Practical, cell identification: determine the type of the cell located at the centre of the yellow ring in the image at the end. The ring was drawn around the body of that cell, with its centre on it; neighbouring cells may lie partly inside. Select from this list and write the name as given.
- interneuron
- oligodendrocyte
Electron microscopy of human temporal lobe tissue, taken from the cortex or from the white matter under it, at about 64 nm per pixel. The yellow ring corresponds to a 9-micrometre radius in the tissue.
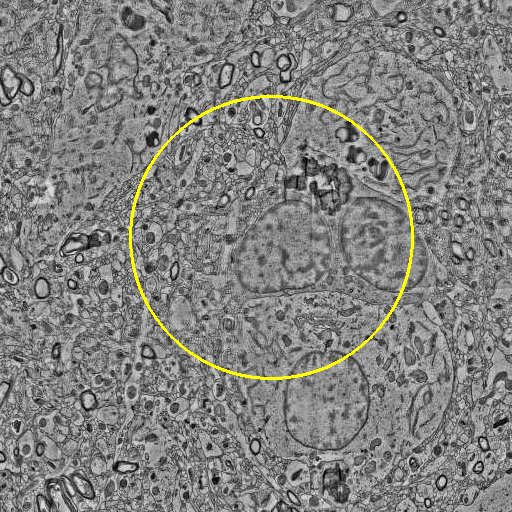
oligodendrocyte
